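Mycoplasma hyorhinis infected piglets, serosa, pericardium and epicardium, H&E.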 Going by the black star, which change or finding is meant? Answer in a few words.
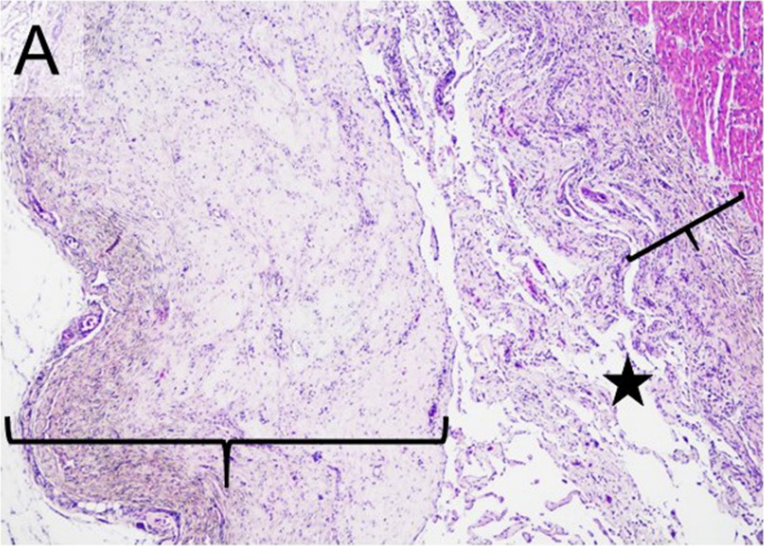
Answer: Filamentous projections consisting of connective tissue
